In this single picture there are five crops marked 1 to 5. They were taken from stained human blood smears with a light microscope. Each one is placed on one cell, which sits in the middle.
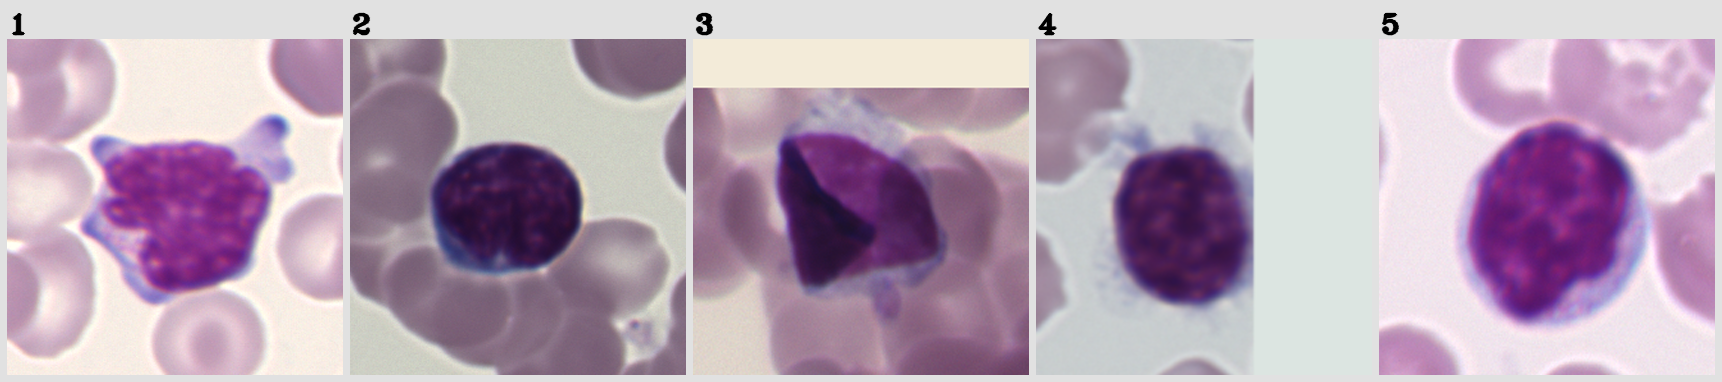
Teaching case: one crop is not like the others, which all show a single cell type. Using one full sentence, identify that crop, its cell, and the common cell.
Crop 4 contains a hairy cell, setting it apart from the other crops, which all contain typical lymphocytes.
